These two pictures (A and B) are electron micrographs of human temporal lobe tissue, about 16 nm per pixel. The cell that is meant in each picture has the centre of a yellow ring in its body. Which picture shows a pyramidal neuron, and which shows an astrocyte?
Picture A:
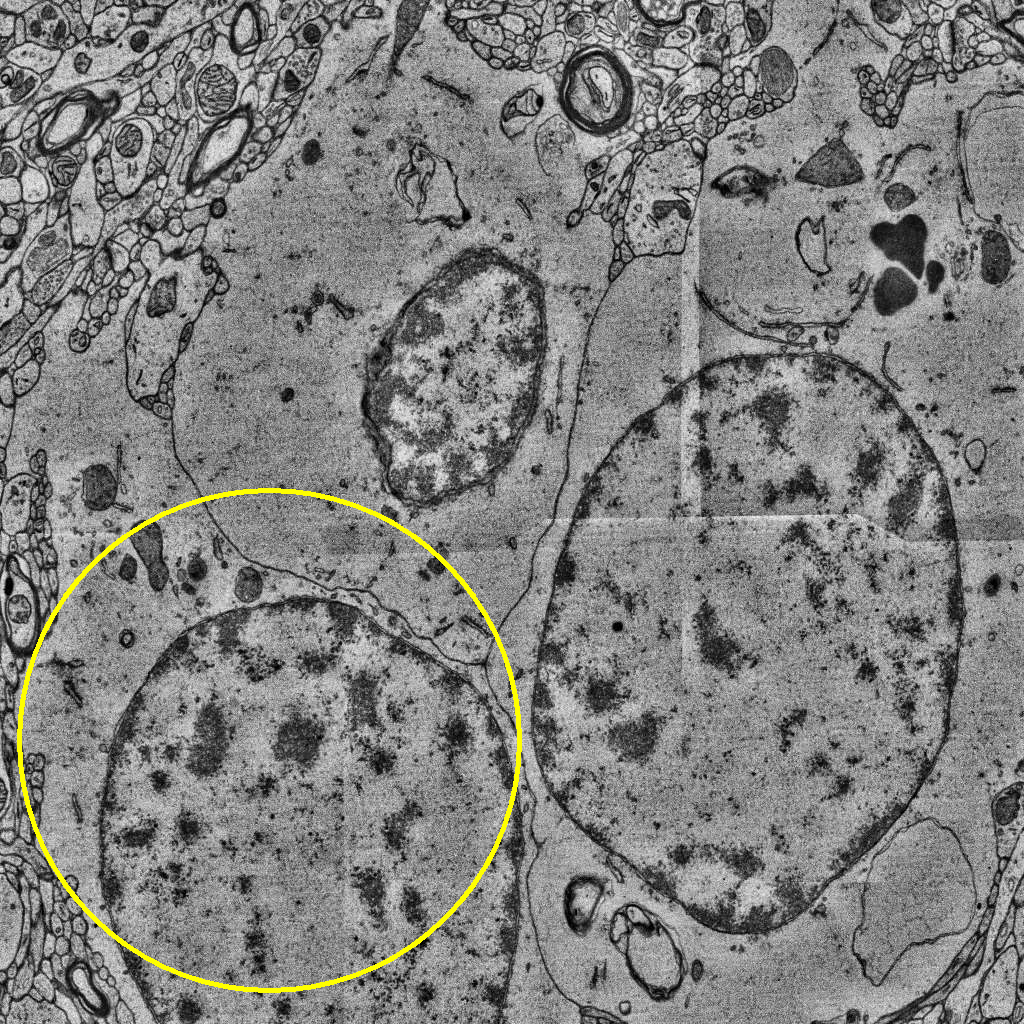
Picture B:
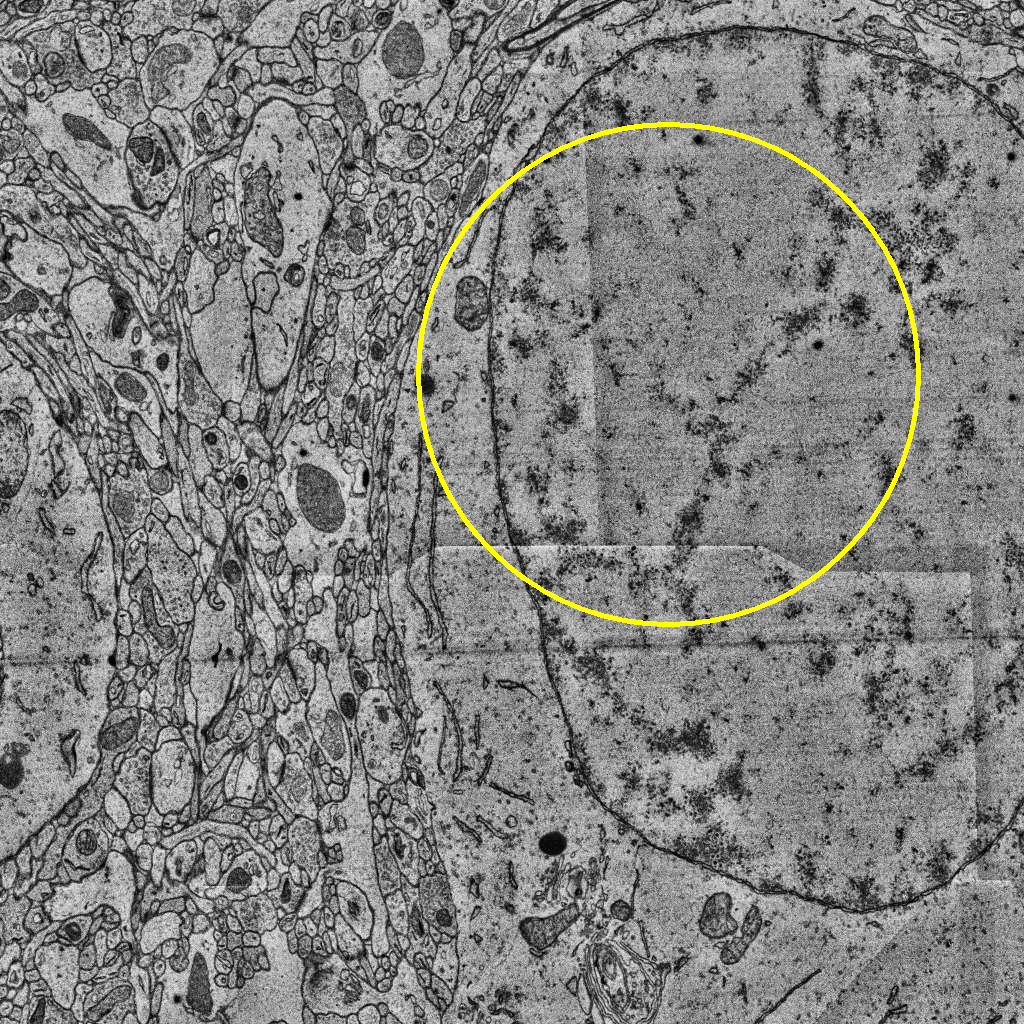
Picture B shows a pyramidal neuron, while picture A shows an astrocyte.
